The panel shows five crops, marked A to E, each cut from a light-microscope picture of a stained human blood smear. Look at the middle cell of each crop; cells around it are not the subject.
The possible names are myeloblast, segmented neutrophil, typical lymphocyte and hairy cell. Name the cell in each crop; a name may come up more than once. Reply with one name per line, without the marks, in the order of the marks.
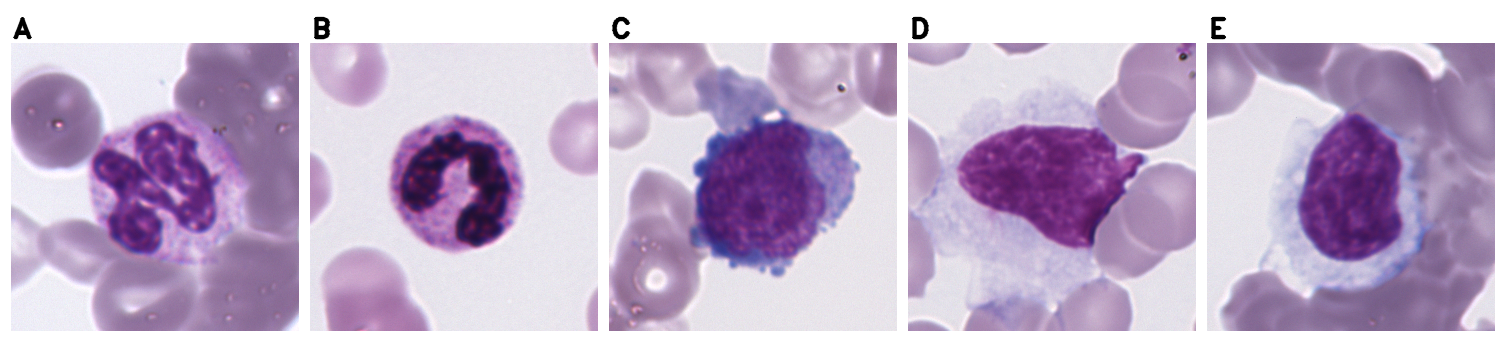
segmented neutrophil
segmented neutrophil
myeloblast
hairy cell
hairy cell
